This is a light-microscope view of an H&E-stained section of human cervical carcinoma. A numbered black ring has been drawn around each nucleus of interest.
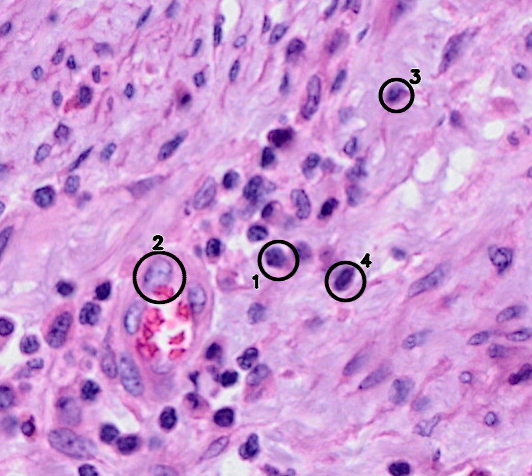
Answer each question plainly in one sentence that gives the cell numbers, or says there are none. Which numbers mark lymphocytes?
The cells carrying labels 1, 3 and 4 are lymphocytes.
